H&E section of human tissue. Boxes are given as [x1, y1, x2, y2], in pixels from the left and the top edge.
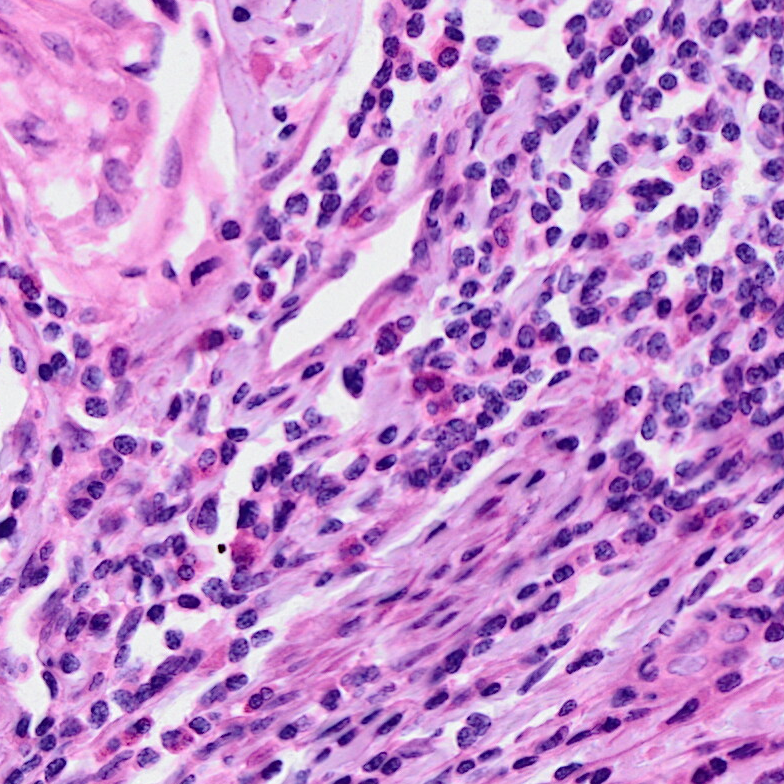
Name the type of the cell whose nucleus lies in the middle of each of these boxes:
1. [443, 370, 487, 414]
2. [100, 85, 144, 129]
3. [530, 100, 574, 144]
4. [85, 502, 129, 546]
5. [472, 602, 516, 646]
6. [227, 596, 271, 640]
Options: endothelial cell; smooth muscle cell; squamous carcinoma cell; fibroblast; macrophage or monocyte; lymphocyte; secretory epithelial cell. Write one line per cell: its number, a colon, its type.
1: lymphocyte
2: squamous carcinoma cell
3: lymphocyte
4: macrophage or monocyte
5: lymphocyte
6: lymphocyte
